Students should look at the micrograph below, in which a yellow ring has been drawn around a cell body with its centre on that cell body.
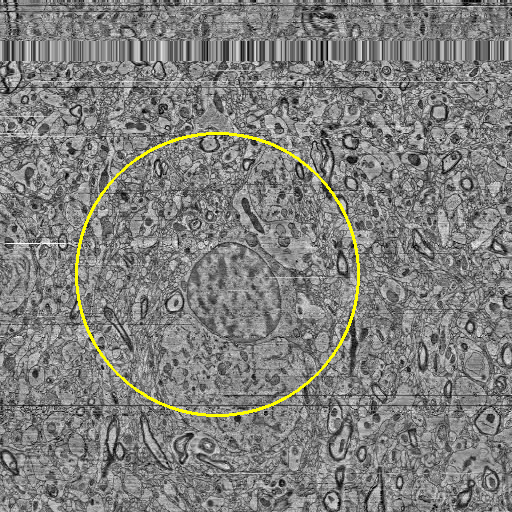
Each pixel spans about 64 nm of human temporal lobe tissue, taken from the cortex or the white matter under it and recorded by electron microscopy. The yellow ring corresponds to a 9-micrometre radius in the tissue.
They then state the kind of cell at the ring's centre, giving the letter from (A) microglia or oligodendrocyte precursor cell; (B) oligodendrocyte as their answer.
B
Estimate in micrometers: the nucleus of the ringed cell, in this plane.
In this plane, the nucleus is roughly 7 by 6 micrometres.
